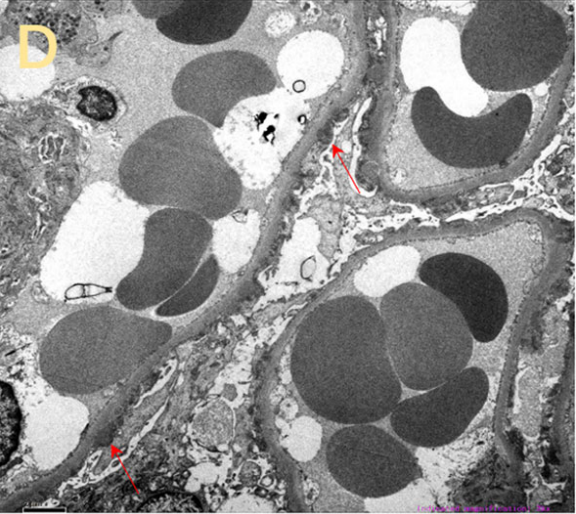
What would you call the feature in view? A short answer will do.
Glomerular capillary loops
